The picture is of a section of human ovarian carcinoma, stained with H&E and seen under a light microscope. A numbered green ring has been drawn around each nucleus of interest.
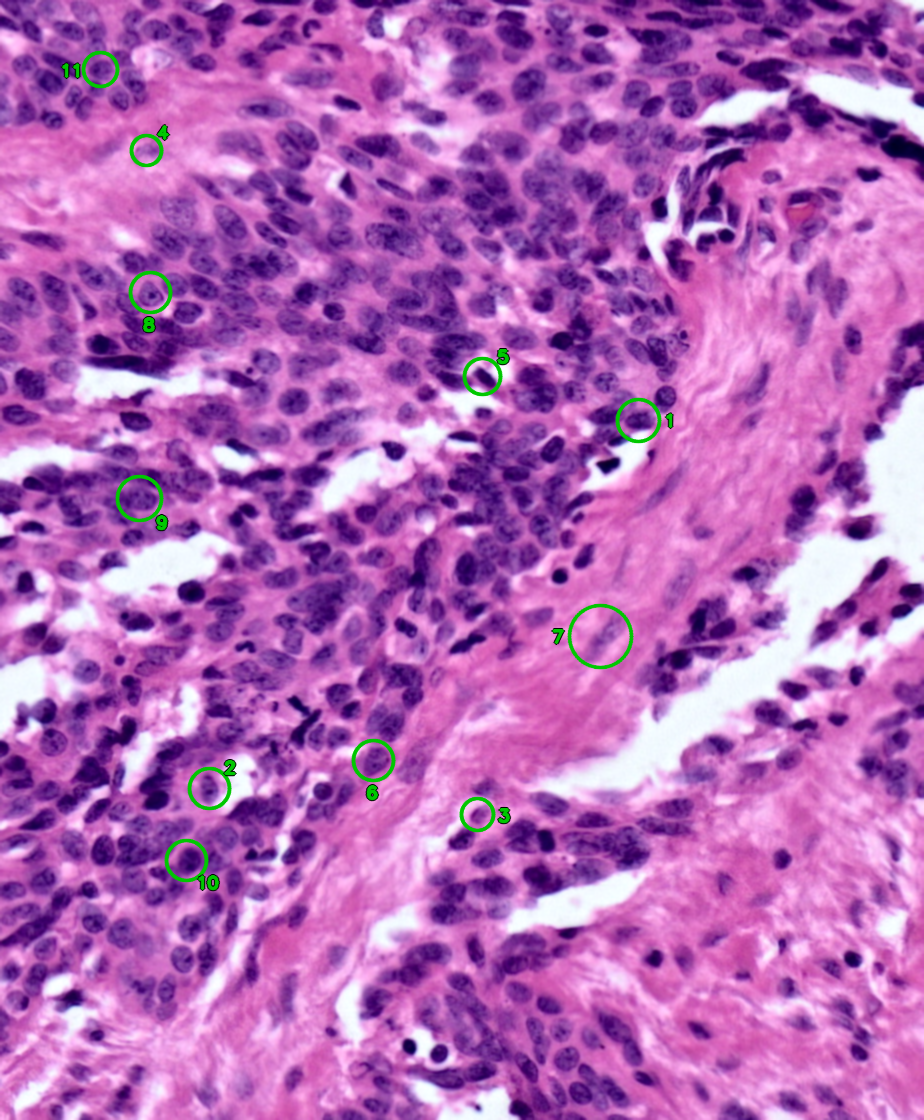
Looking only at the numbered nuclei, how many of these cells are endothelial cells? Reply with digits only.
0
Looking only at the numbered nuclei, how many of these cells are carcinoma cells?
6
